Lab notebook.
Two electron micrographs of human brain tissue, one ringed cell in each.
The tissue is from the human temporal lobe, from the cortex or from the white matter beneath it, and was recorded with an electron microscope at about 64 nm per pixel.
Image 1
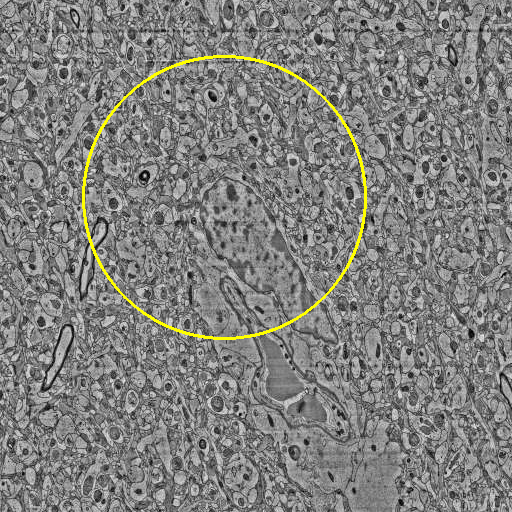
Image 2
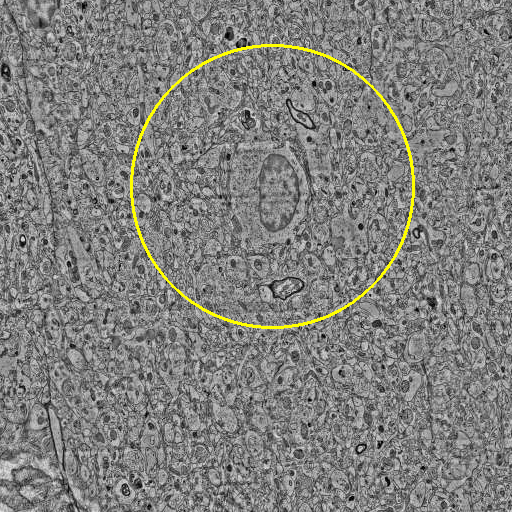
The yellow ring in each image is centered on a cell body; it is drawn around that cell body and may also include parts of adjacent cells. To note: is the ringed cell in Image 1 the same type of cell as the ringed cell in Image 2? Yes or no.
no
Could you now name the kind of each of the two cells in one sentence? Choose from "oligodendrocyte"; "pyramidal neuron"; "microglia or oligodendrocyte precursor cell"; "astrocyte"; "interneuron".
The first ring encloses a microglial cell or oligodendrocyte precursor cell; the second ring encloses an astrocyte.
